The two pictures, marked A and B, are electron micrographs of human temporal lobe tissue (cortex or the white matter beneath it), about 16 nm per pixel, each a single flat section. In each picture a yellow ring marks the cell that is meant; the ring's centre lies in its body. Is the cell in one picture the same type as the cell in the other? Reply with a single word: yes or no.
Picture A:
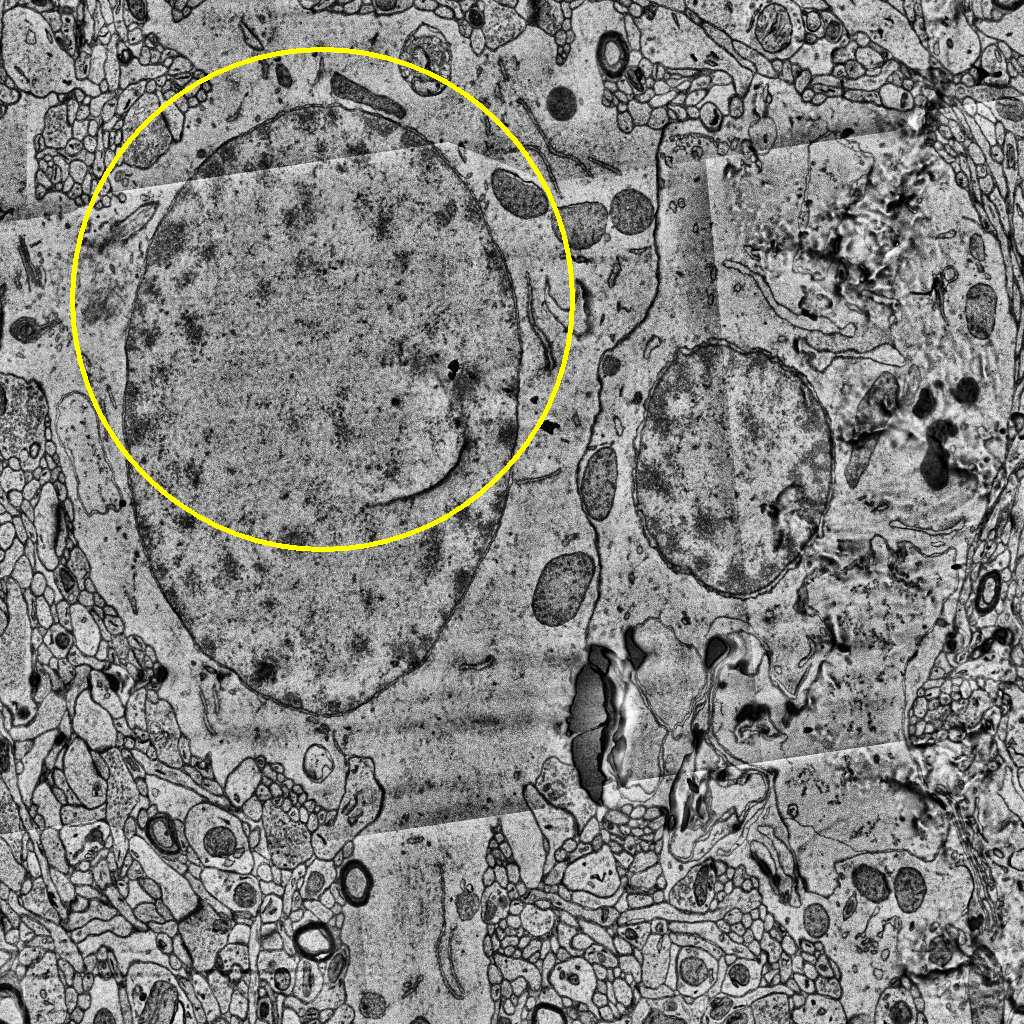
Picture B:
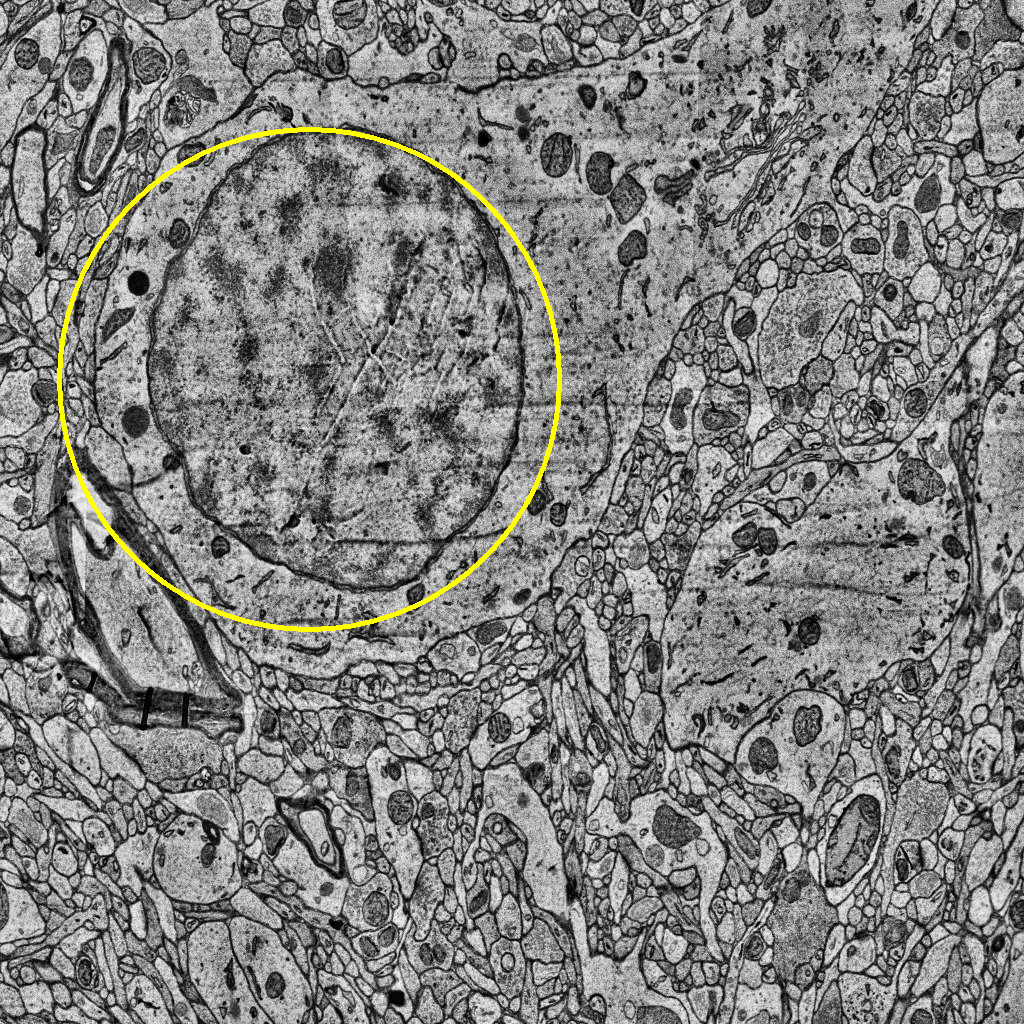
no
